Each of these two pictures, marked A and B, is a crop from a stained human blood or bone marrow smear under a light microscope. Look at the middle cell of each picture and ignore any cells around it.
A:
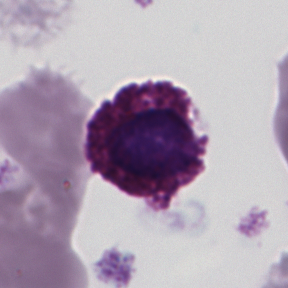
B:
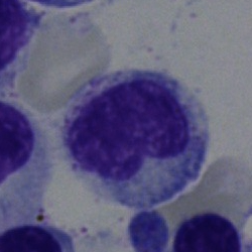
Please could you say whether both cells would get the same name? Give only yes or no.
no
